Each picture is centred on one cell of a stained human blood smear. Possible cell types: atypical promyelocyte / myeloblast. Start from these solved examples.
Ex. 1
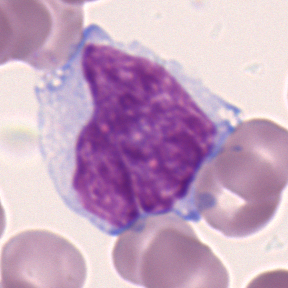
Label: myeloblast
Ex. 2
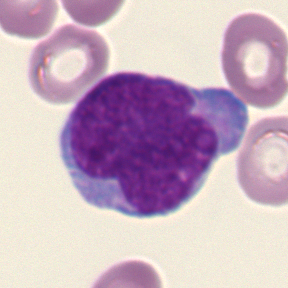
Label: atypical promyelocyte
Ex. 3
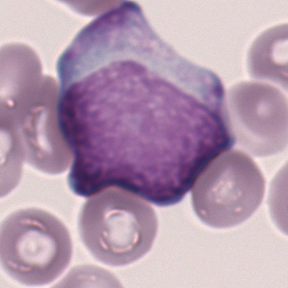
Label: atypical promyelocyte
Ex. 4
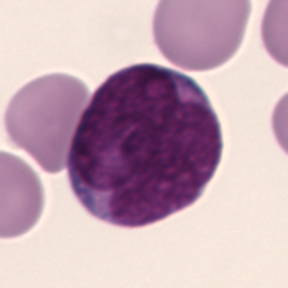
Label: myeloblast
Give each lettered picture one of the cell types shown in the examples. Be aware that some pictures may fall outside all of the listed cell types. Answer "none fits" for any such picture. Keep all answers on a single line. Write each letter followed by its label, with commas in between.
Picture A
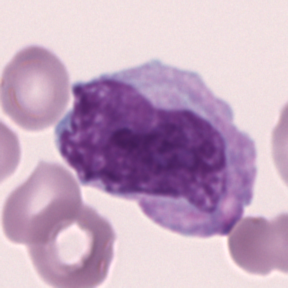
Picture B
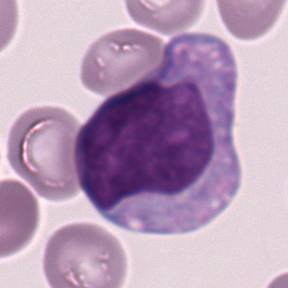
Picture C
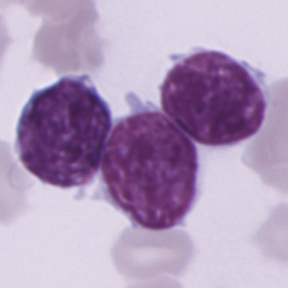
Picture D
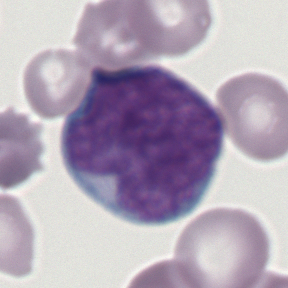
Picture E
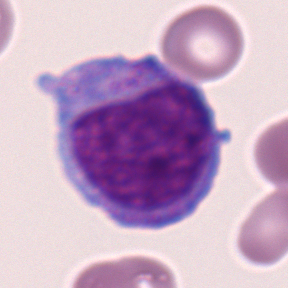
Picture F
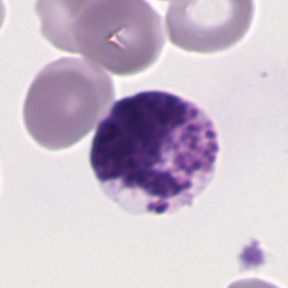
A atypical promyelocyte, B atypical promyelocyte, C myeloblast, D myeloblast, E atypical promyelocyte, F none fits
